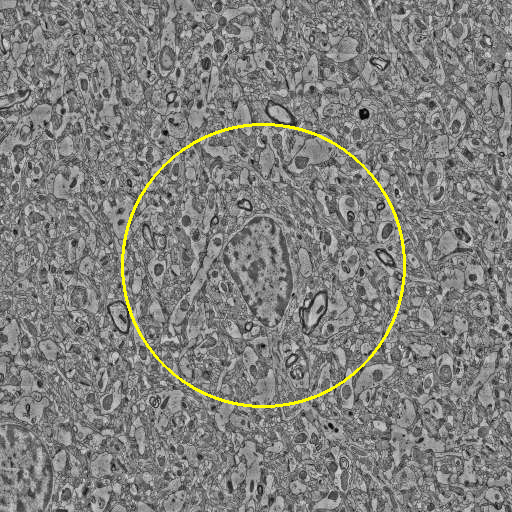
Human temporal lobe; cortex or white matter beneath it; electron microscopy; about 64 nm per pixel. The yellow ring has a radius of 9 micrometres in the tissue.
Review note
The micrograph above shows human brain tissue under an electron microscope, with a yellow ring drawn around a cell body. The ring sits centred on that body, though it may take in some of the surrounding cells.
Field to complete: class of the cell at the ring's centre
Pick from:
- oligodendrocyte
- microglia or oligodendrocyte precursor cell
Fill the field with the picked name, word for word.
microglia or oligodendrocyte precursor cell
